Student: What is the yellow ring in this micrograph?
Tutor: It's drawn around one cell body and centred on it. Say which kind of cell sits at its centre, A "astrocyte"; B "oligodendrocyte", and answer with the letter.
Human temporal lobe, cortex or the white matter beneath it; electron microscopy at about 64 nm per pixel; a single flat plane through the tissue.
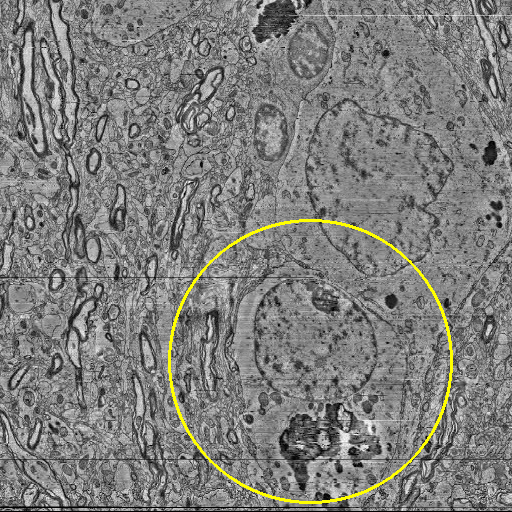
A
